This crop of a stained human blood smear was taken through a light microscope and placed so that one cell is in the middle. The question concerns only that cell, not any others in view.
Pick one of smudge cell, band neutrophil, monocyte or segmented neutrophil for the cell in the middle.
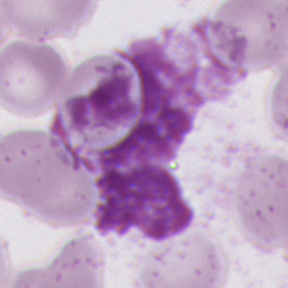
smudge cell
